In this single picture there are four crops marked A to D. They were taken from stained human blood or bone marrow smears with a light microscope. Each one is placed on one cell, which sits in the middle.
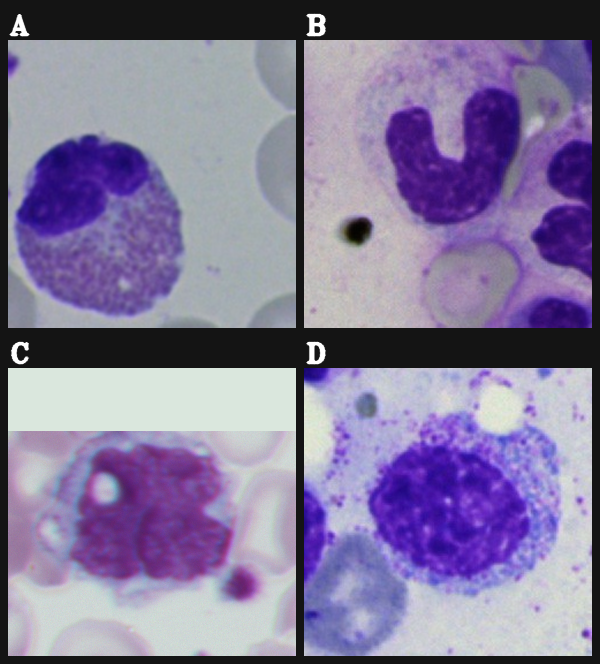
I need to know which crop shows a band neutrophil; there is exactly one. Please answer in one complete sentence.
The crop bearing a band neutrophil is crop B.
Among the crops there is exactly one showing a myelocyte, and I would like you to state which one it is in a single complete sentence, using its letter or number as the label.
When the crops are compared, crop D is the one showing a myelocyte.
